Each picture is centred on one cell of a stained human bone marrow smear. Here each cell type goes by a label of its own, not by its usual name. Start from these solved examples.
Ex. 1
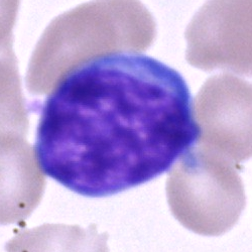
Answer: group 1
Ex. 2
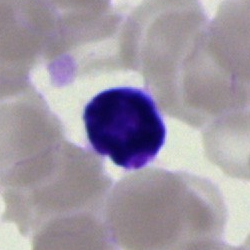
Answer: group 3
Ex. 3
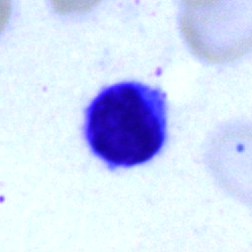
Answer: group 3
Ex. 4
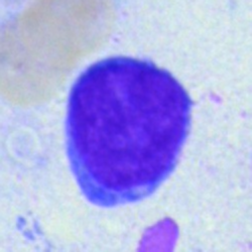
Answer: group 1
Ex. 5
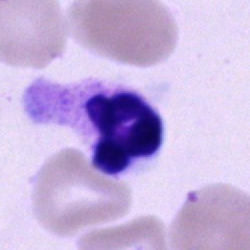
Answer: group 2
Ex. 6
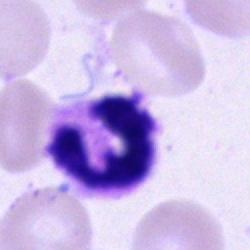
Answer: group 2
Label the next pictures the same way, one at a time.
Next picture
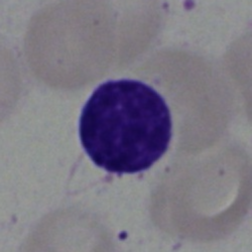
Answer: group 3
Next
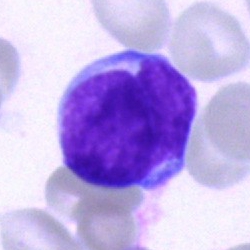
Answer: group 1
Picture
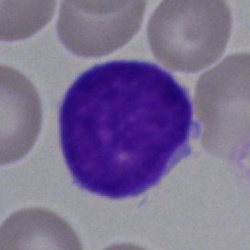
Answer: group 1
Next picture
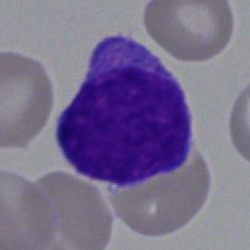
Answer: group 1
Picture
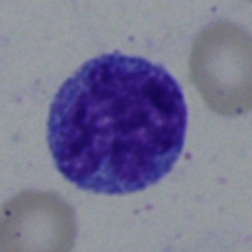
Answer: group 1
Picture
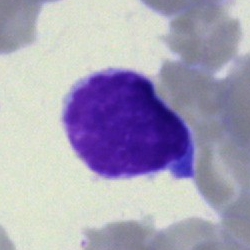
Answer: group 3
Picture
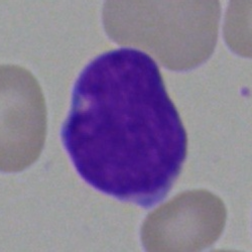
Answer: group 1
